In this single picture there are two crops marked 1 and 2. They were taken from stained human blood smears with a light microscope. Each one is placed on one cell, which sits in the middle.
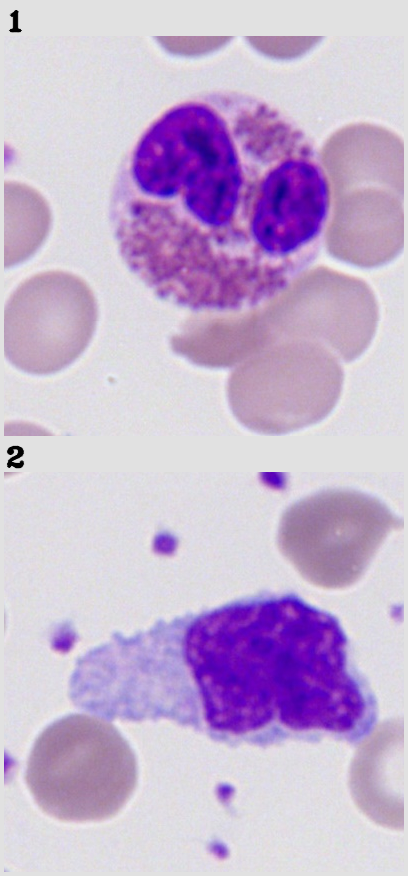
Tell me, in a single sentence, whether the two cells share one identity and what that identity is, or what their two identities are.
No, crop 1 and crop 2 contain, respectively, an eosinophil and a monocyte.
